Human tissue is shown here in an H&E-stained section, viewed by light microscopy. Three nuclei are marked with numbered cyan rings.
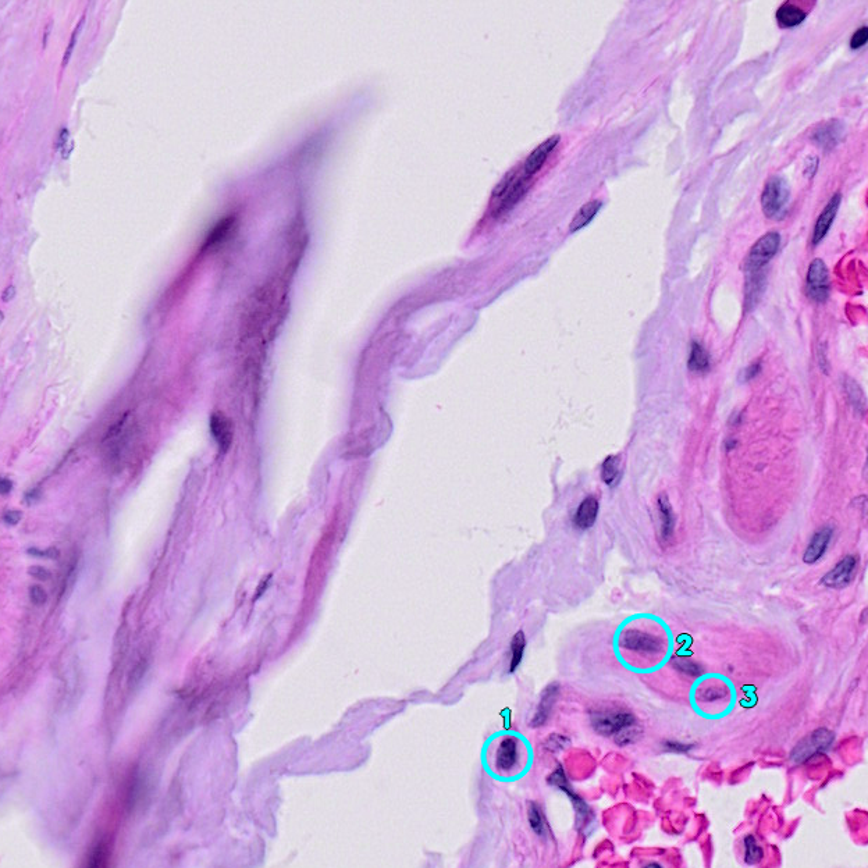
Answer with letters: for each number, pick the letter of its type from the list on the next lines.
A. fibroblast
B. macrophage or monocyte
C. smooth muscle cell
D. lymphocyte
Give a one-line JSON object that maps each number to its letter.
{"1": "D", "2": "C", "3": "C"}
